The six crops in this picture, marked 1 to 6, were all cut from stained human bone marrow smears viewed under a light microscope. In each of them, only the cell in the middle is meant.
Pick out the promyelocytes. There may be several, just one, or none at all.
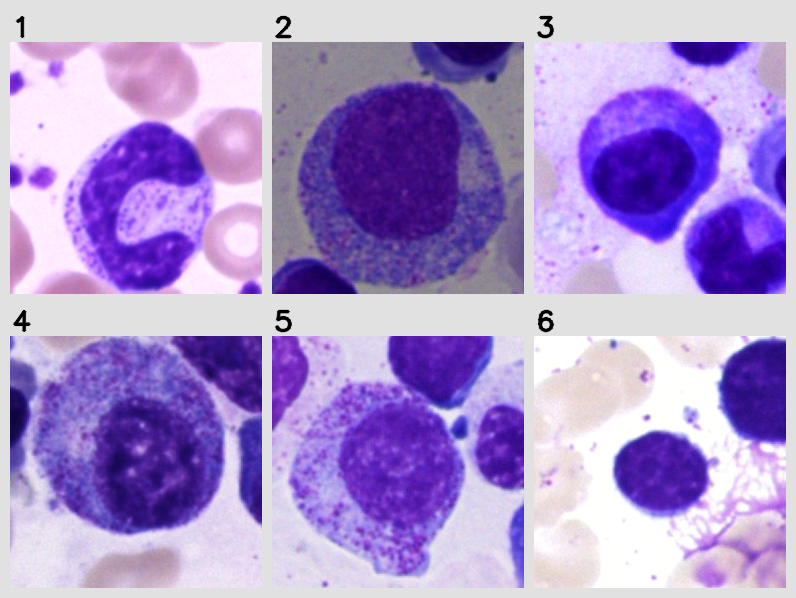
2, 4, 5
